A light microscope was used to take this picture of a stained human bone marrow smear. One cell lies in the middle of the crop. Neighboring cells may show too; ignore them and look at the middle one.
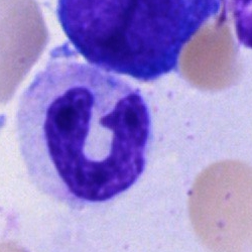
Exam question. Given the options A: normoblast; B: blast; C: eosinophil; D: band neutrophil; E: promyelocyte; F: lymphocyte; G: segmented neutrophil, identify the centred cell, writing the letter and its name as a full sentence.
The right choice is option D: the cell in the middle is a band neutrophil.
